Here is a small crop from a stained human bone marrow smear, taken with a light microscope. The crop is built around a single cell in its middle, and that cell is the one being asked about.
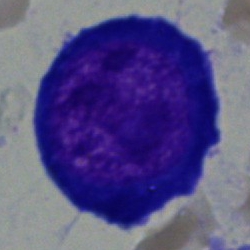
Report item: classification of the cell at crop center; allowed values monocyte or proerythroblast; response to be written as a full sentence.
The cell at the middle of the crop is recognized as a proerythroblast.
